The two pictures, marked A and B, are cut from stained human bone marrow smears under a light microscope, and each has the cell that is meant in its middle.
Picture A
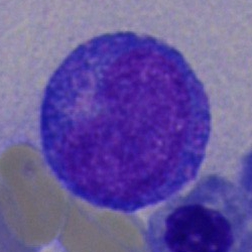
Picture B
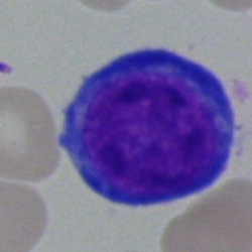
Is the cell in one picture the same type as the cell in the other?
no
